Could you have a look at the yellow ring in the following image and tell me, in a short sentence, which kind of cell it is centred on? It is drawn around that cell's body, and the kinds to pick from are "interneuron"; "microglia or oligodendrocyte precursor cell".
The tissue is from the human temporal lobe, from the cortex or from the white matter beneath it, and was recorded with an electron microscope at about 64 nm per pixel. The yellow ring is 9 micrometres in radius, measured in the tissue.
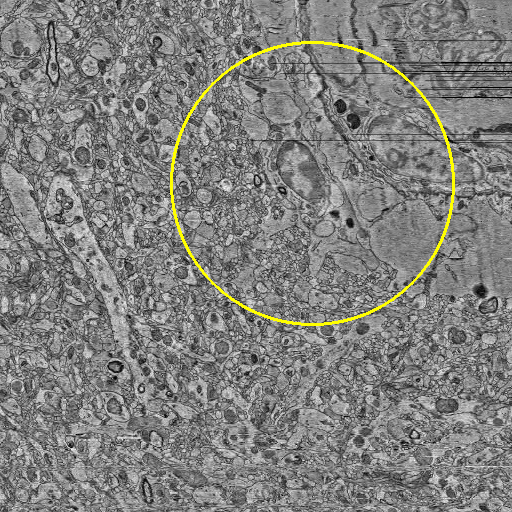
The ring is centred on the body of a microglial cell or oligodendrocyte precursor cell.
